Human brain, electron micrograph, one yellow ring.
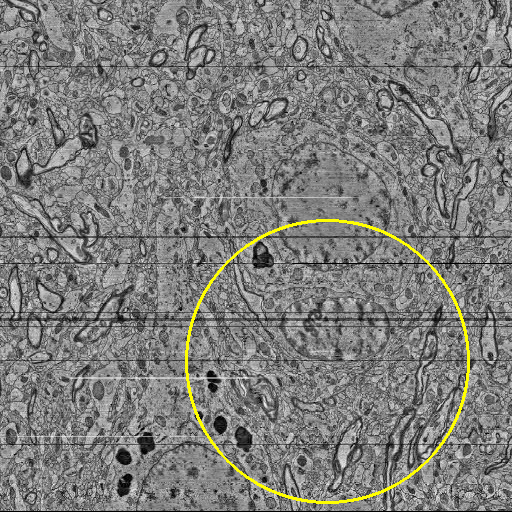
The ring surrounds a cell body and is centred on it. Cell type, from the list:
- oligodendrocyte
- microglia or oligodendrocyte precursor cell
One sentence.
The yellow ring circles an oligodendrocyte.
